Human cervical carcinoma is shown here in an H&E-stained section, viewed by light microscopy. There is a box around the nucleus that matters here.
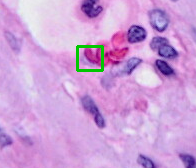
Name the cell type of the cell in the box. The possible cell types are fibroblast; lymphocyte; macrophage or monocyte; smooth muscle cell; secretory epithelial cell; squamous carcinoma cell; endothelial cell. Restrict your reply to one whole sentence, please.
Placed in its cell category, the cell in the box is an endothelial cell.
